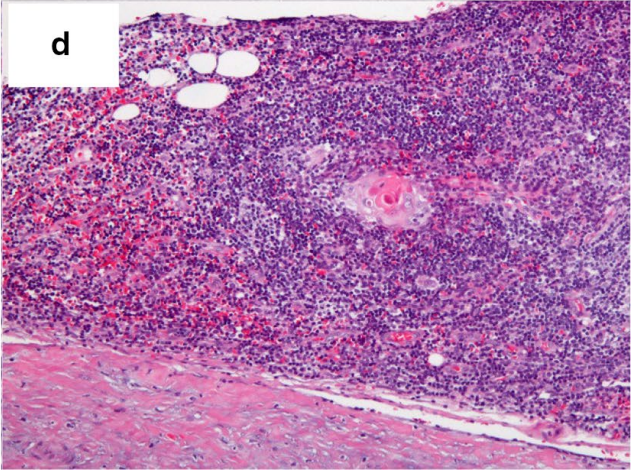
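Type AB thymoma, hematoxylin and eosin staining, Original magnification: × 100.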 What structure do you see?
Hassall’s corpuscles.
